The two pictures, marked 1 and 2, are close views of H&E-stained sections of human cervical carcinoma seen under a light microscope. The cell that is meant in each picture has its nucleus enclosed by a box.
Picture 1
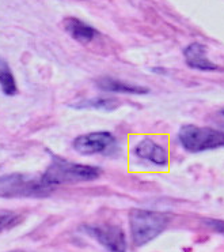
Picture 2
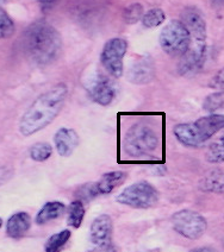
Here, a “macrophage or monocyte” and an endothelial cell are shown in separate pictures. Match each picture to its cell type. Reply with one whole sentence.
Picture 1 is of a “macrophage or monocyte”, and picture 2 is of an endothelial cell.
